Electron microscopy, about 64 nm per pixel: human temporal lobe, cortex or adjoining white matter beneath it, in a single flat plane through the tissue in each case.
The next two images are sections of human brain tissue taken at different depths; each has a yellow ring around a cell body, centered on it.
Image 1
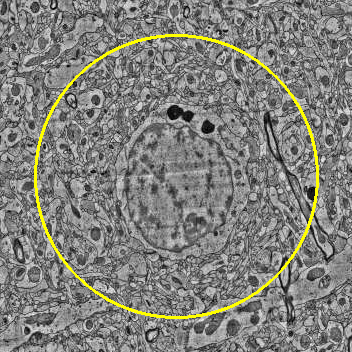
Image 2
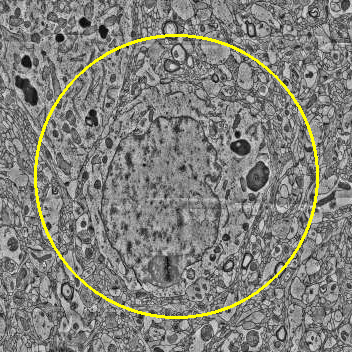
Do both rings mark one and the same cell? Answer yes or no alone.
no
